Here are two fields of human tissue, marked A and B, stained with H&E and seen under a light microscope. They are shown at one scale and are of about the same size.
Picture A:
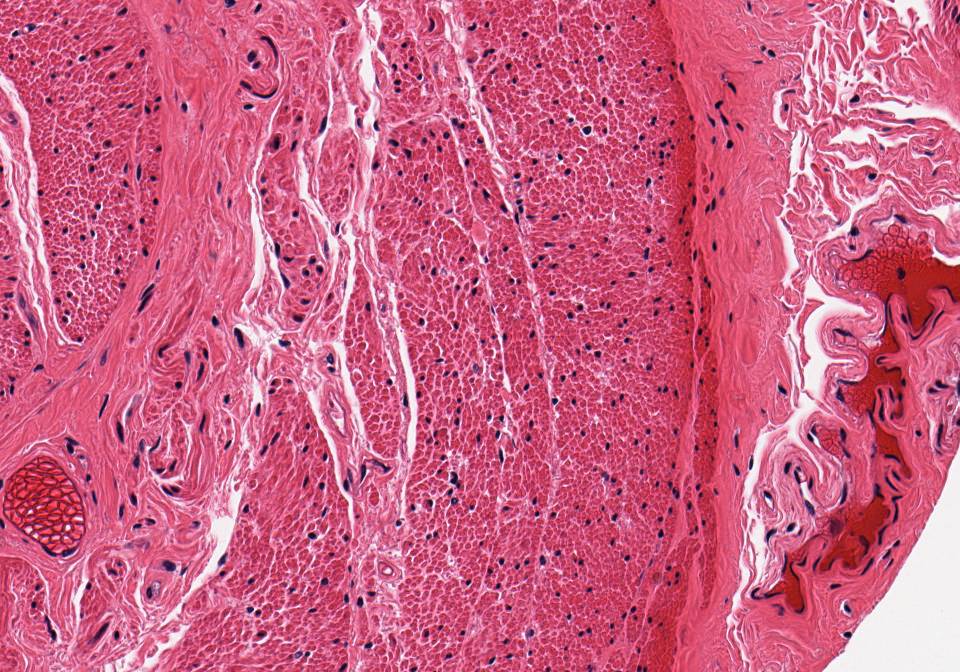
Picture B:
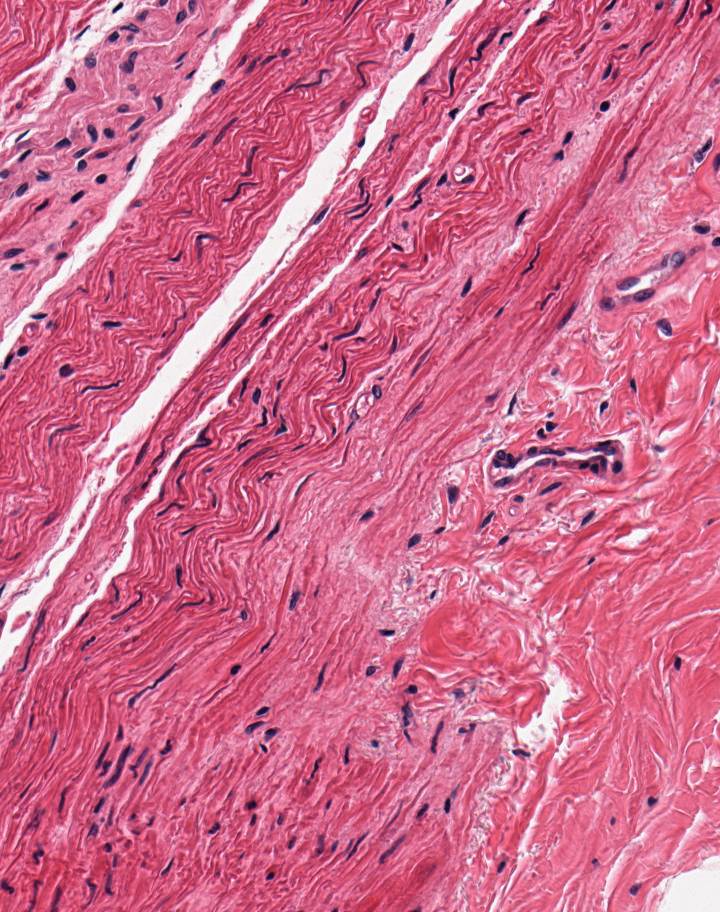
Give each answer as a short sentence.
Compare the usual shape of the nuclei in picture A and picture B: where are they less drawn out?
The nuclei are rounder in picture A.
